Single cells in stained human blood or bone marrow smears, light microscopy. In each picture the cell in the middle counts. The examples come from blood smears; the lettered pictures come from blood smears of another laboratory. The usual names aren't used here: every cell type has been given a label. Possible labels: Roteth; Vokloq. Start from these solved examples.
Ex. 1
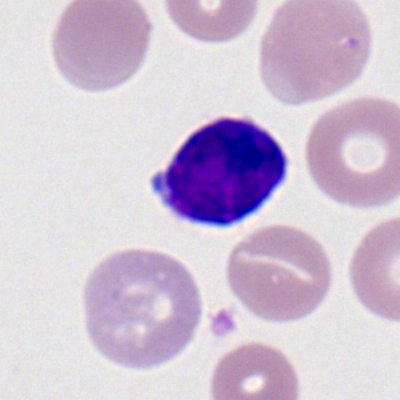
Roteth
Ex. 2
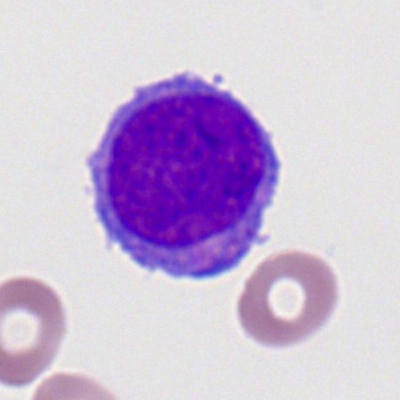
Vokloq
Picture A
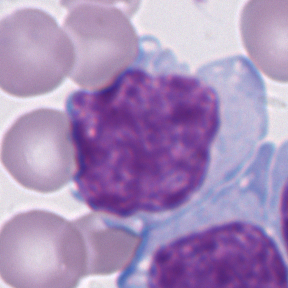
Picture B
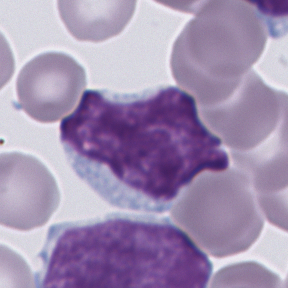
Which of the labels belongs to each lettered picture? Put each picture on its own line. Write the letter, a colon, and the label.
A: Vokloq
B: Roteth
